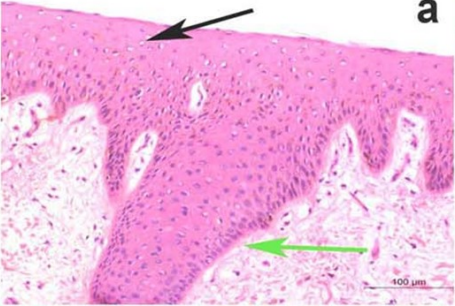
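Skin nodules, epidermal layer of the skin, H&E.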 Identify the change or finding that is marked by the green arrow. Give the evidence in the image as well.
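The epidermis is markedly thickened. Long, broad rete ridges extend down into the dermis. So: Acanthosis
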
